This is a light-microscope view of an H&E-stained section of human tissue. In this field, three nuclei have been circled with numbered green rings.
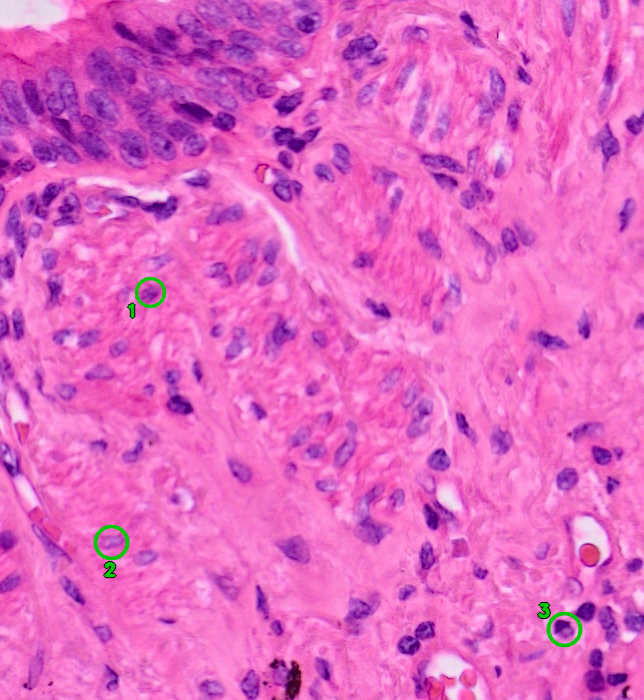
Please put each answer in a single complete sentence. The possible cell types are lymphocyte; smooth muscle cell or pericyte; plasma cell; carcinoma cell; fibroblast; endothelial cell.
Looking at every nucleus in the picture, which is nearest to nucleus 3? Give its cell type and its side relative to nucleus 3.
It is a lymphocyte, whose nucleus lies above and to the right of nucleus 3.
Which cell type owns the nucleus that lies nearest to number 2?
The nucleus nearest to number 2 is that of a smooth muscle cell or pericyte.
